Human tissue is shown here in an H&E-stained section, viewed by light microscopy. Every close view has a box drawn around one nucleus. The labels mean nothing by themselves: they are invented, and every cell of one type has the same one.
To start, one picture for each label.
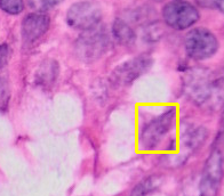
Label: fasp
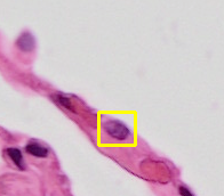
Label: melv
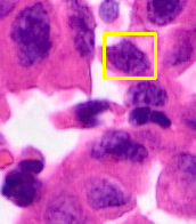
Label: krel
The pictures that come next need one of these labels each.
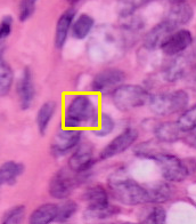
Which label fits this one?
fasp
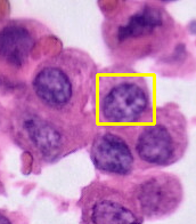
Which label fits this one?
krel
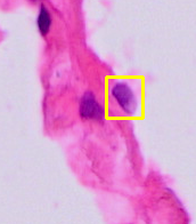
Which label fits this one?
melv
